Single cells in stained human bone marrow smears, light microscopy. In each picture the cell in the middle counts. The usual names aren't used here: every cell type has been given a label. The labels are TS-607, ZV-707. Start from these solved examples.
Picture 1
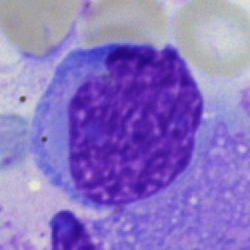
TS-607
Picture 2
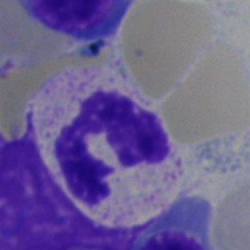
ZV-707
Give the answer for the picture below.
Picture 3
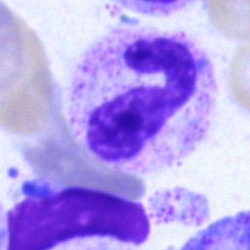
ZV-707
